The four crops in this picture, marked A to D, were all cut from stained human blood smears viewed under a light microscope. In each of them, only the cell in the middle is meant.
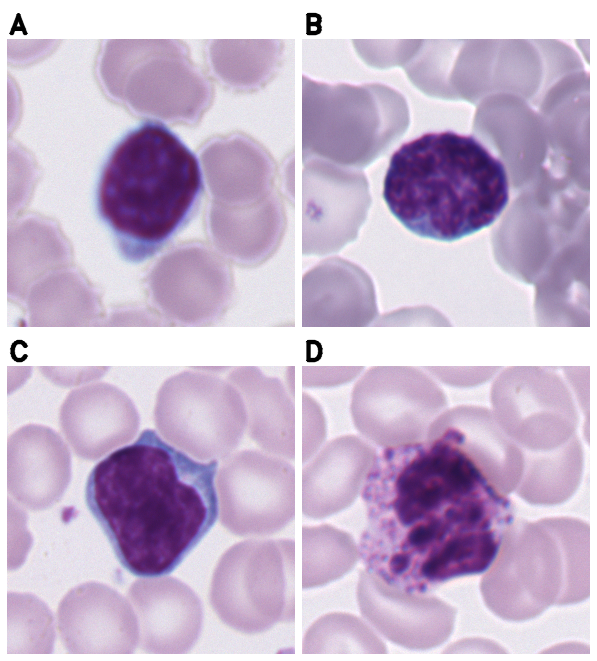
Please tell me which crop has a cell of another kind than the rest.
D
